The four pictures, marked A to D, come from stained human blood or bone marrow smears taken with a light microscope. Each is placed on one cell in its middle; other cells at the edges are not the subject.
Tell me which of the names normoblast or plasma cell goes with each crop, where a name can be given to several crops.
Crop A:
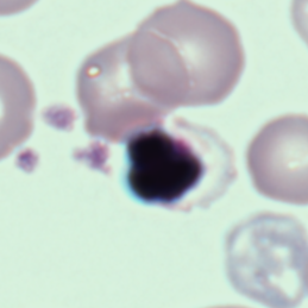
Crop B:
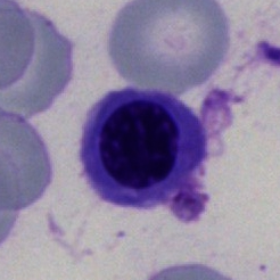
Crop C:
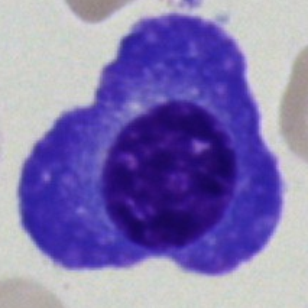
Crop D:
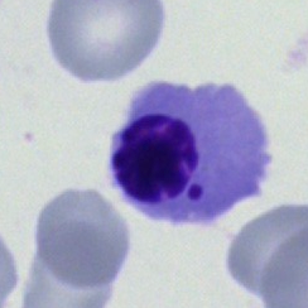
A: normoblast
B: normoblast
C: plasma cell
D: normoblast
